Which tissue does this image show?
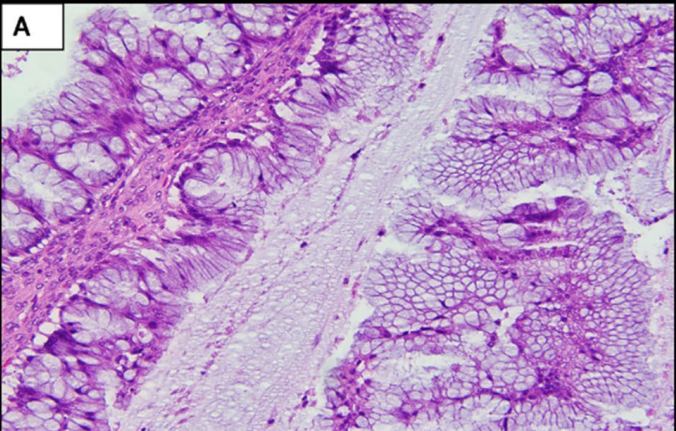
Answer: complex mucinous epithelium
